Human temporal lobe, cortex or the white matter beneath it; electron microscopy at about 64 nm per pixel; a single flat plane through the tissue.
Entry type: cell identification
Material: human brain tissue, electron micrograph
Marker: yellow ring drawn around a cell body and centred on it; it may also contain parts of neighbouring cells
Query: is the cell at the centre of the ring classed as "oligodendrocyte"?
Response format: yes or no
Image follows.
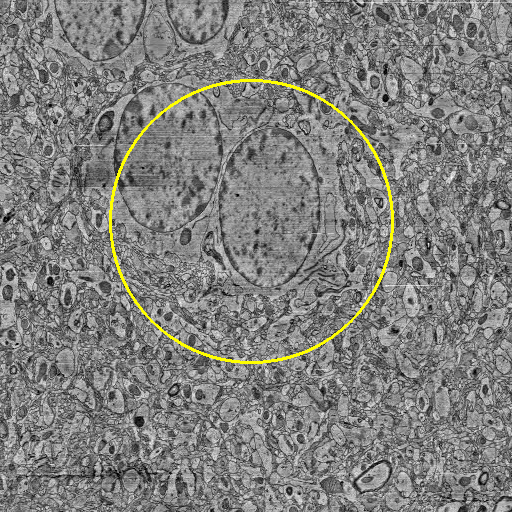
no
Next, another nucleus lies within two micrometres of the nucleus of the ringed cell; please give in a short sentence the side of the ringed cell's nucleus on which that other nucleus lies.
The other nucleus is positioned to the upper left of it.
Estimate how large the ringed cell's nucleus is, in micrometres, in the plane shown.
In this plane, about 11 by 7 micrometres: the nucleus is clearly longer than it is wide.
